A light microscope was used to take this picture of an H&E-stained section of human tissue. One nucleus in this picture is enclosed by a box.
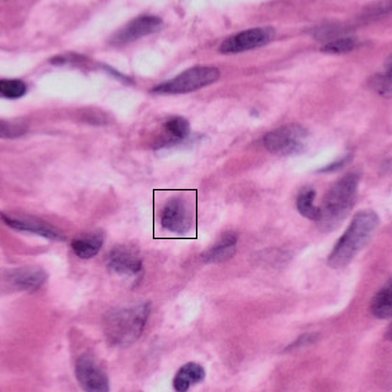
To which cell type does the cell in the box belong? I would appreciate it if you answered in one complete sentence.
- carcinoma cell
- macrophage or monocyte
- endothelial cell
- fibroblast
The correct response here is that the cell in the box is a fibroblast.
